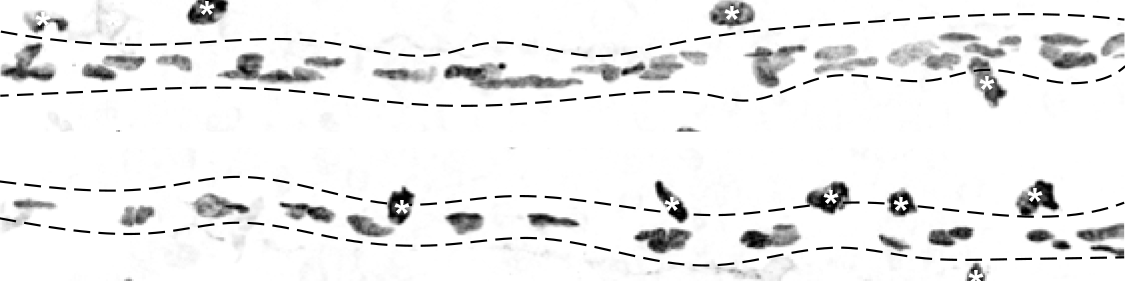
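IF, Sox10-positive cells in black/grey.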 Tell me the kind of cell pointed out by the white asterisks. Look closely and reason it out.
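They are darker and rounder than the elongated nuclei inside the outline. That points to this answer: pigment cells.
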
